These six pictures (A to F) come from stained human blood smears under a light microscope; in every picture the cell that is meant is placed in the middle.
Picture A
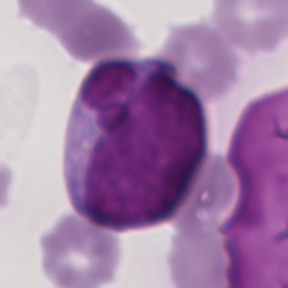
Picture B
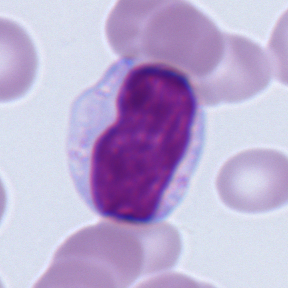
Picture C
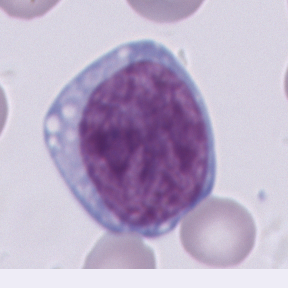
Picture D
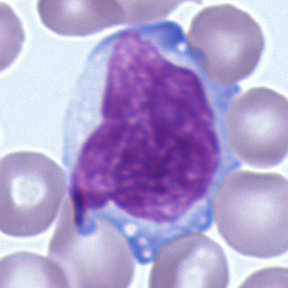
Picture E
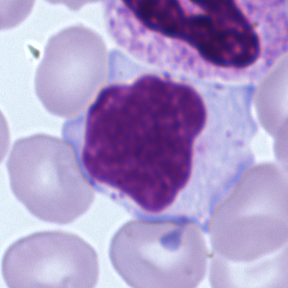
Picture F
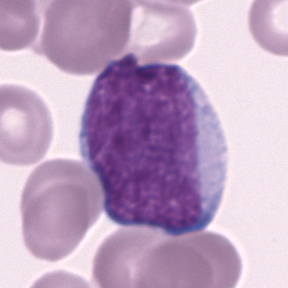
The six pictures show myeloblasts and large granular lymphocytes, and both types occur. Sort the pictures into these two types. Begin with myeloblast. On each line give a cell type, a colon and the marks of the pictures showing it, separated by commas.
myeloblast: A, C, D, F
large granular lymphocyte: B, E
